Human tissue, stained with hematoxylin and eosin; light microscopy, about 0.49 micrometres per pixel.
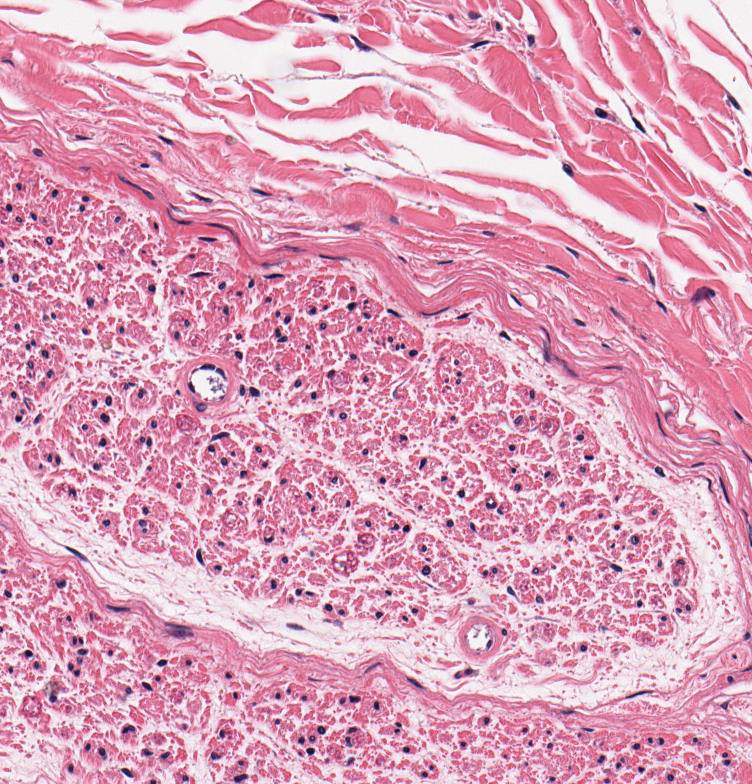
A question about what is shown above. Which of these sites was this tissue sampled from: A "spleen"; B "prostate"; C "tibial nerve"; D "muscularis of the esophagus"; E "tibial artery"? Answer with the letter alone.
C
